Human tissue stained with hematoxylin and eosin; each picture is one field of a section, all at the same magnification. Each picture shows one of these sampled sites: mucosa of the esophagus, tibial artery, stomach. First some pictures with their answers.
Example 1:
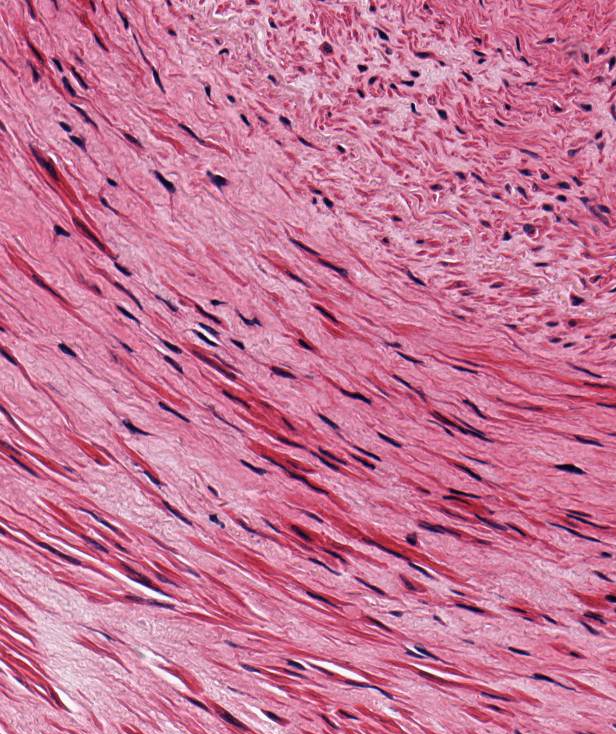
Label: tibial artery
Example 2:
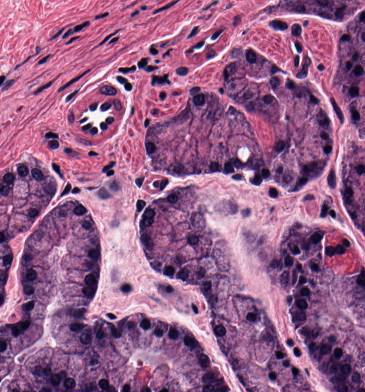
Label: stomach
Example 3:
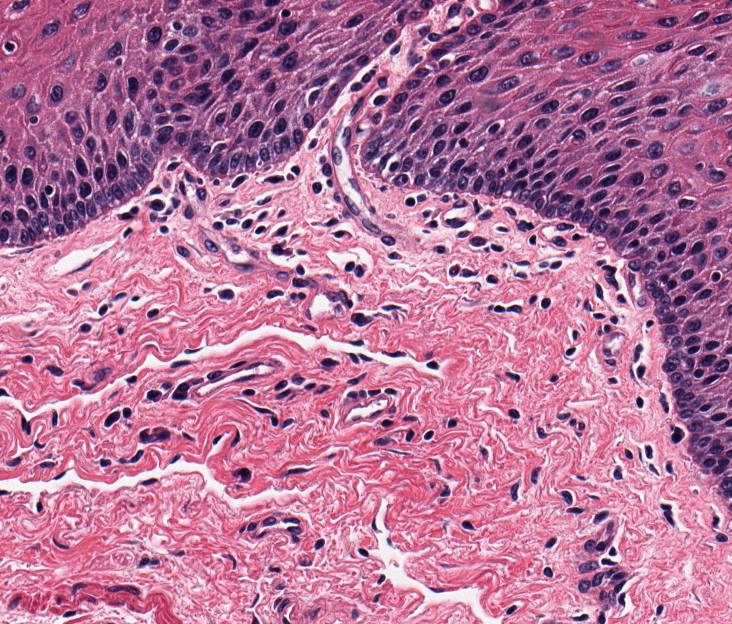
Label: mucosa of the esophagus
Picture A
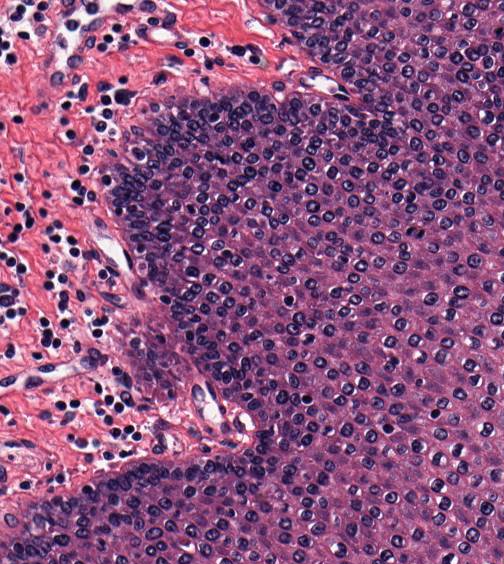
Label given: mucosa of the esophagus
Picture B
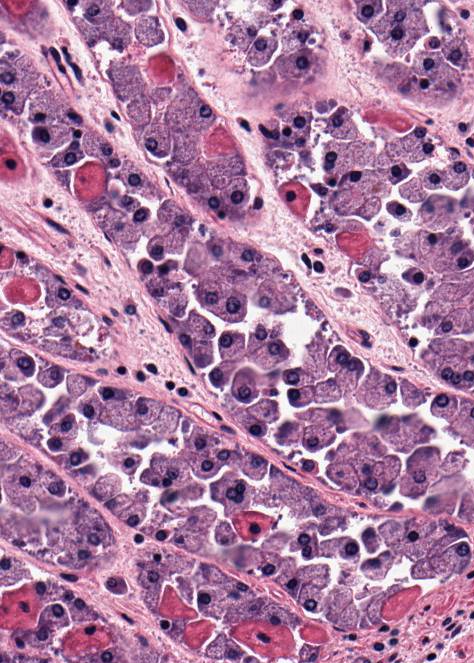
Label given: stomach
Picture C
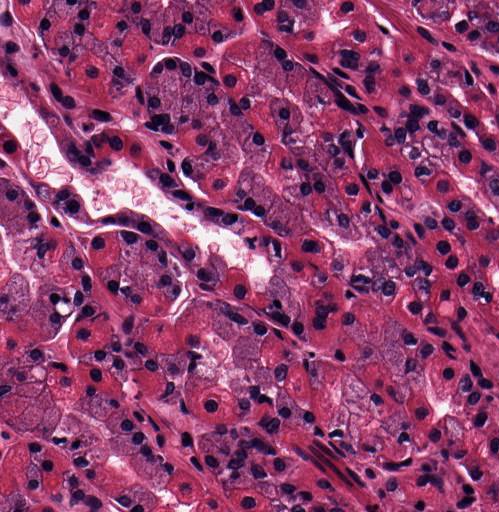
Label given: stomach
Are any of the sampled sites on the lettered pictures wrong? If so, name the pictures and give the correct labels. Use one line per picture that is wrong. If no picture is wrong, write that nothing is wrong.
No label is wrong.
